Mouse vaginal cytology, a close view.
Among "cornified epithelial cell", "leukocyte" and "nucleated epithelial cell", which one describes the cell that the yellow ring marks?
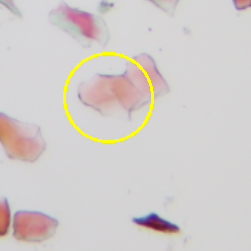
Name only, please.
cornified epithelial cell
